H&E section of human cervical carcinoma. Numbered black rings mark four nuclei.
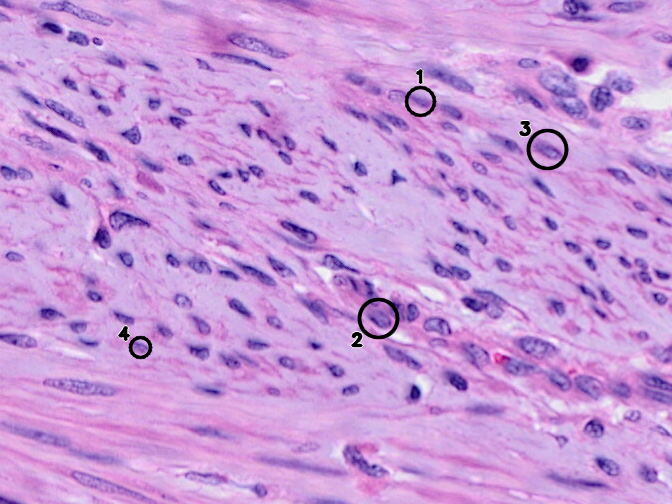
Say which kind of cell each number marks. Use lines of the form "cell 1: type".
cell 1: smooth muscle cell
cell 2: endothelial cell
cell 3: smooth muscle cell
cell 4: smooth muscle cell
